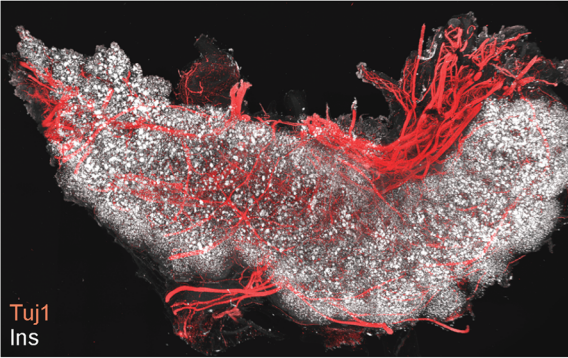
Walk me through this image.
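The organ is elongated and lobulated, with a pale grey background texture. Numerous small, rounded white clusters, the islets, are scattered densely throughout the whole organ. Fine red nerve fibres branch over and through the tissue. Thick red nerve bundles gather and leave the organ at its upper right edge, with further bundles at the lower left margin.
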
